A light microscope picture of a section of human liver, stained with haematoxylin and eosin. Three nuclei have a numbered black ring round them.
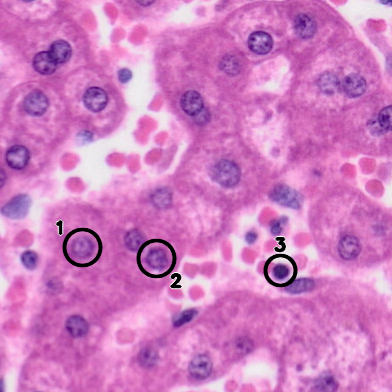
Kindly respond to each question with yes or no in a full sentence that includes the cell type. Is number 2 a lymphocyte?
No; cell 2 is a hepatocyte, not a lymphocyte.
